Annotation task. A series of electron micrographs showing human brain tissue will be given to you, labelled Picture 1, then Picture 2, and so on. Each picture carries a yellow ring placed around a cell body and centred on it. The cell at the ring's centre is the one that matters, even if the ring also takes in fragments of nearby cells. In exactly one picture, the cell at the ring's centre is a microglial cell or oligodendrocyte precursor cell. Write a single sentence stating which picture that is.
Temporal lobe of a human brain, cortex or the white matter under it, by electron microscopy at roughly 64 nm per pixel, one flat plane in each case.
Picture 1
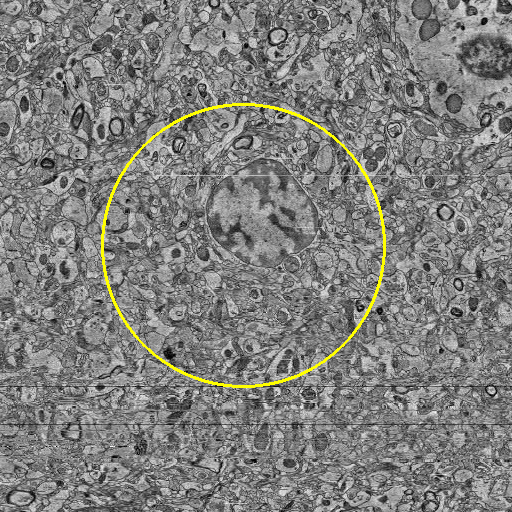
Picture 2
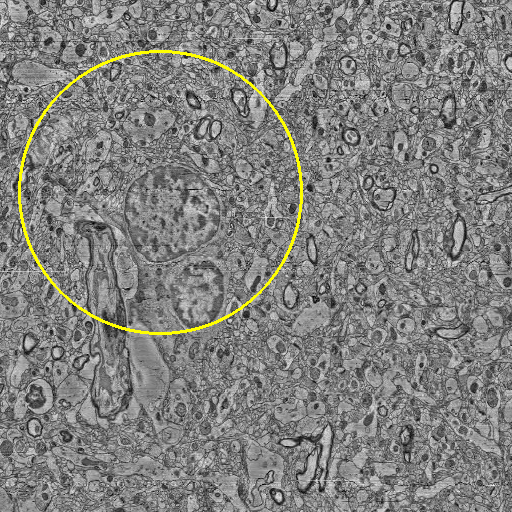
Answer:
Picture 1 holds the requested cell at the very centre of its ring.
